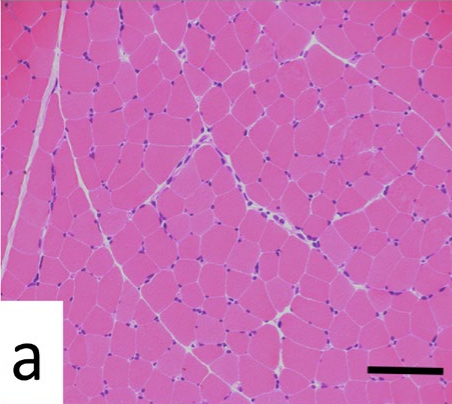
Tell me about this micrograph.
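This is a cross-section of skeletal muscle in which the muscle fibers appear as closely packed polygonal pink profiles. Small dark purple nuclei lie at the periphery of the fibers, beneath their borders, rather than in their centres. The fibers are grouped into fascicles separated by thin pale strands of connective tissue that carry a few additional nuclei. No inflammatory infiltrate or areas of fiber loss are seen.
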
